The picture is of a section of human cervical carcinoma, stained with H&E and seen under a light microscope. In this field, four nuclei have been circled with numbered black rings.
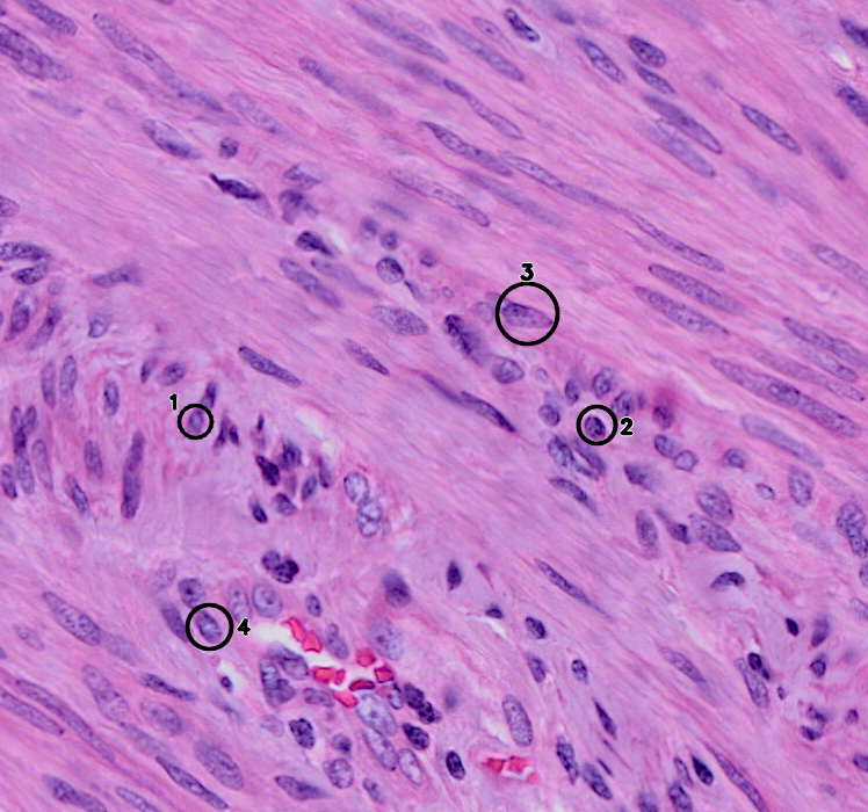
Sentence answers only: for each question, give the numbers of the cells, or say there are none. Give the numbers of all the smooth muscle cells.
The cells numbered 1, 3 and 4 are of one kind: smooth muscle cells.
